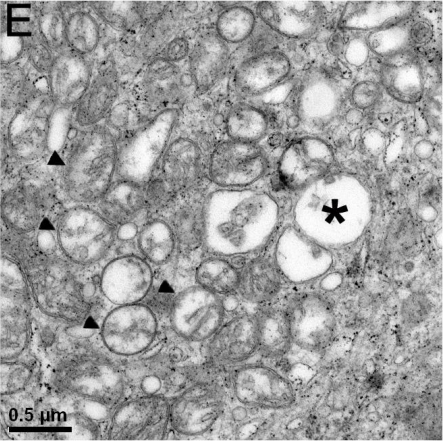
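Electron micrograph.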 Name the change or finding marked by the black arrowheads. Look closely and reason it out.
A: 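The arrowheads point at round organelles bounded by double membranes. Their interiors are pale with sparse, broken inner membranes. So: degenerating inner cristae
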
